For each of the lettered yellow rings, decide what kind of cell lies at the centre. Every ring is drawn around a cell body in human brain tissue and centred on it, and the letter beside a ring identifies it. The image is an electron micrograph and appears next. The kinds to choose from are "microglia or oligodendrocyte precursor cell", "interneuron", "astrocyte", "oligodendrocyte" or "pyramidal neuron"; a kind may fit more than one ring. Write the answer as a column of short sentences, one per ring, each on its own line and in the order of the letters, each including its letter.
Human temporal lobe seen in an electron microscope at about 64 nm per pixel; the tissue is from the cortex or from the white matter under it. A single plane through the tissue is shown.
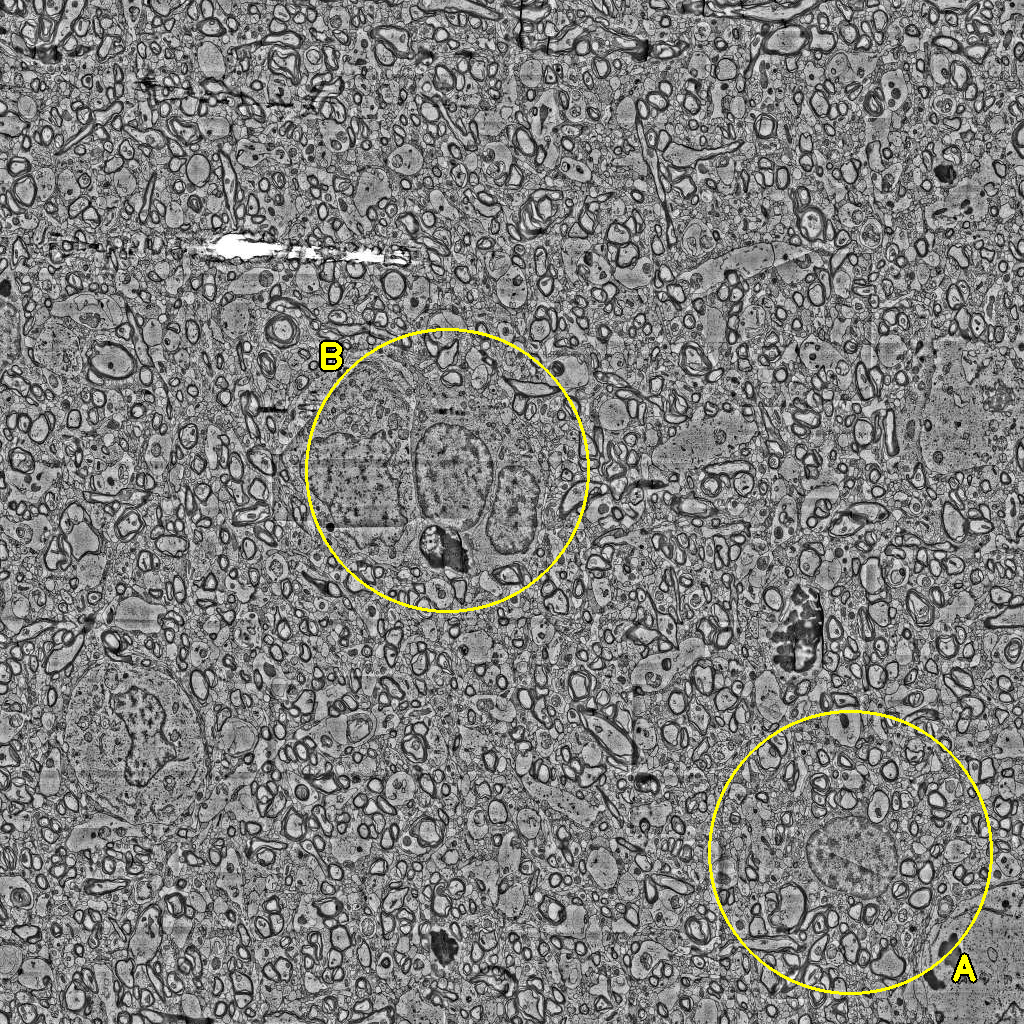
In the centre of ring A lies an oligodendrocyte.
In the centre of ring B lies an oligodendrocyte.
